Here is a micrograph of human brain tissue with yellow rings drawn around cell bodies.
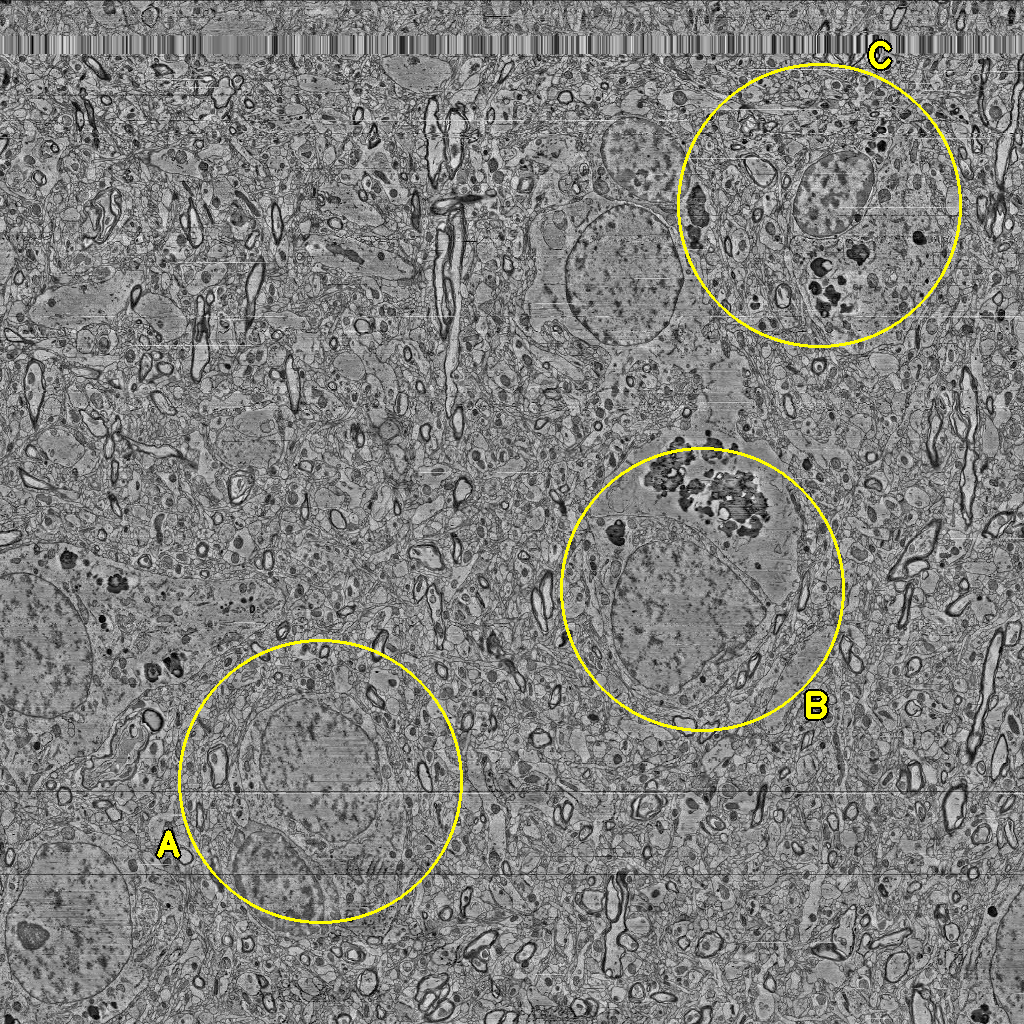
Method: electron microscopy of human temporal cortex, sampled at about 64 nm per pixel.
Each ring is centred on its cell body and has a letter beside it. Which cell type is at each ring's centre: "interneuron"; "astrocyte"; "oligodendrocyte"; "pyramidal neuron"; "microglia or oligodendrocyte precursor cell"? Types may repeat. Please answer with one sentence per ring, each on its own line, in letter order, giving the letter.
Ring A shows a pyramidal neuron at its centre.
Ring B shows a pyramidal neuron at its centre.
Ring C shows a microglial cell or oligodendrocyte precursor cell at its centre.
